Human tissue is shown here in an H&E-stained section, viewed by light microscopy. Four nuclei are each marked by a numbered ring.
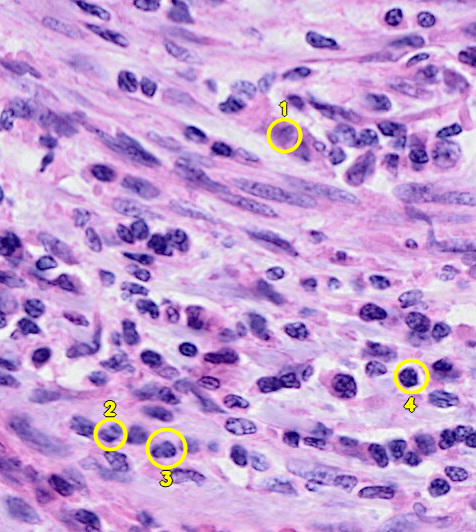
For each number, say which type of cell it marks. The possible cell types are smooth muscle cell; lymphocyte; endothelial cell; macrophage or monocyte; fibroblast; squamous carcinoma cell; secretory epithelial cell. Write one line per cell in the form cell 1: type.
cell 1: macrophage or monocyte
cell 2: lymphocyte
cell 3: lymphocyte
cell 4: lymphocyte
